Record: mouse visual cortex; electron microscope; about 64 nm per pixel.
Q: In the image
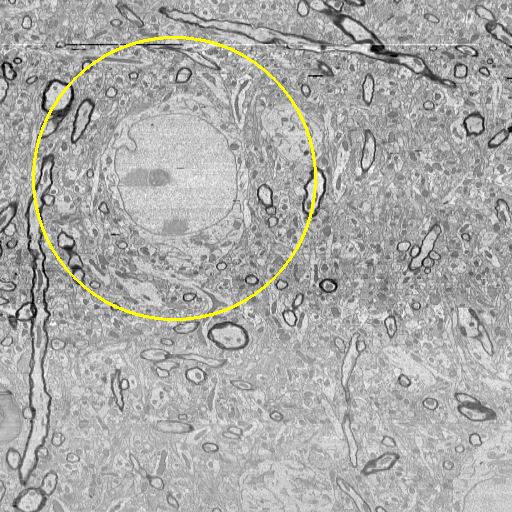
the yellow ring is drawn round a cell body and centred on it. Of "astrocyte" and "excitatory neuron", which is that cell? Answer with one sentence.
The cell centred in the ring is an excitatory neuron.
